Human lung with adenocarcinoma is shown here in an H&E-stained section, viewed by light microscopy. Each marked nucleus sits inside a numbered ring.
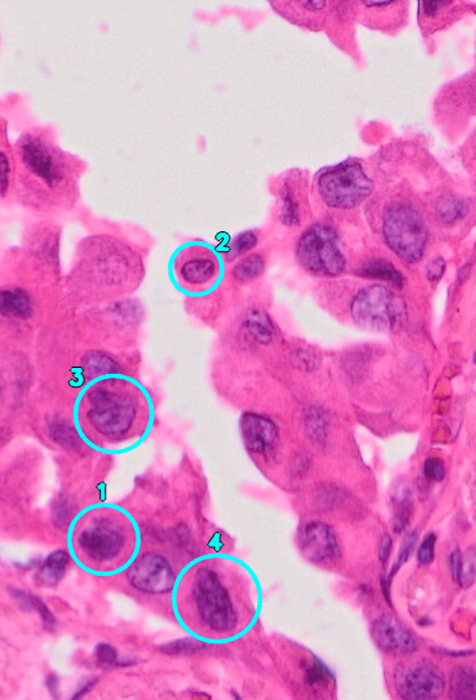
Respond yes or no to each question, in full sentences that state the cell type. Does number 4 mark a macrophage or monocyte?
No, cell 4, which is a carcinoma cell, is not a macrophage or monocyte.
